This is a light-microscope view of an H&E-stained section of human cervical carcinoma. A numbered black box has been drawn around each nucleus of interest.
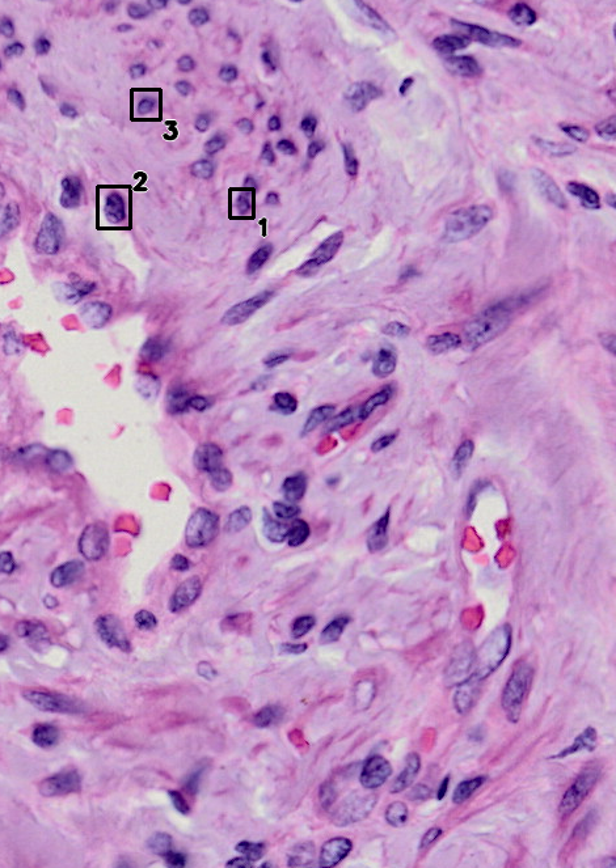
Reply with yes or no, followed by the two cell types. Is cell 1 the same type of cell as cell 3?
Yes, both are smooth muscle cells.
